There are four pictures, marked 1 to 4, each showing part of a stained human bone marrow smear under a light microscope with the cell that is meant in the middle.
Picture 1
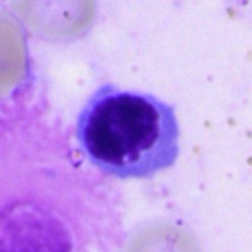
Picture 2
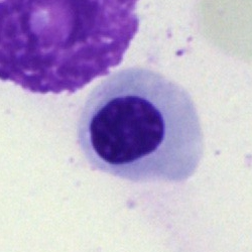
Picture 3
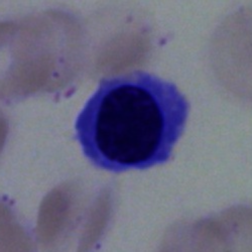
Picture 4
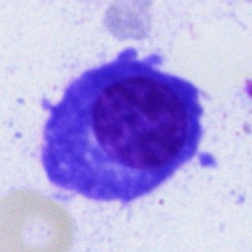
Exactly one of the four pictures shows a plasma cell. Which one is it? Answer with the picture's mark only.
4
